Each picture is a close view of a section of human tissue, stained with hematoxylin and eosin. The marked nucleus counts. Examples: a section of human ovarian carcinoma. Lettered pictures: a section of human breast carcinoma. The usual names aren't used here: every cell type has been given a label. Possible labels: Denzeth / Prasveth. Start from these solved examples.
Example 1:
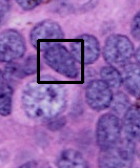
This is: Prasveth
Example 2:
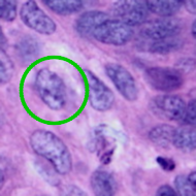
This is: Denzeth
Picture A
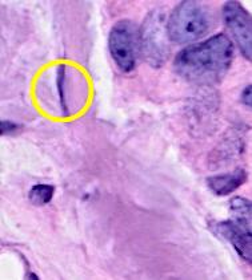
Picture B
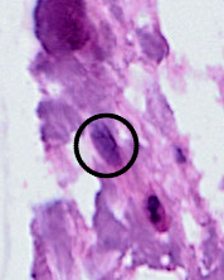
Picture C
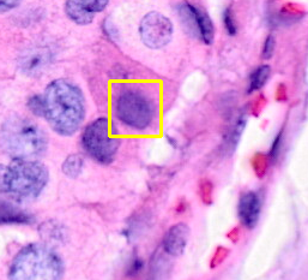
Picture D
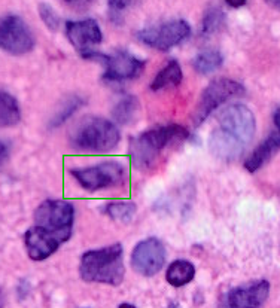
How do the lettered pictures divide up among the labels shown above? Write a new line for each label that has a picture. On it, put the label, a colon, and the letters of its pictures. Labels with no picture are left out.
Denzeth: A, B
Prasveth: C, D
